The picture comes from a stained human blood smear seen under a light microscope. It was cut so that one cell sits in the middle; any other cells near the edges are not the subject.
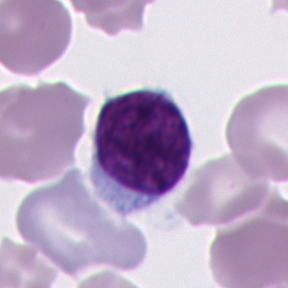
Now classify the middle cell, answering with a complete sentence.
Regarding the central cell, it is a hairy cell.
